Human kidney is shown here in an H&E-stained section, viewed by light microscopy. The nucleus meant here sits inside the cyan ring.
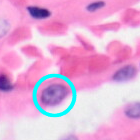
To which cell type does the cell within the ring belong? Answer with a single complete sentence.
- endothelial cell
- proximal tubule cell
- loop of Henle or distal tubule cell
The cell meant here is a loop of Henle or distal tubule cell.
